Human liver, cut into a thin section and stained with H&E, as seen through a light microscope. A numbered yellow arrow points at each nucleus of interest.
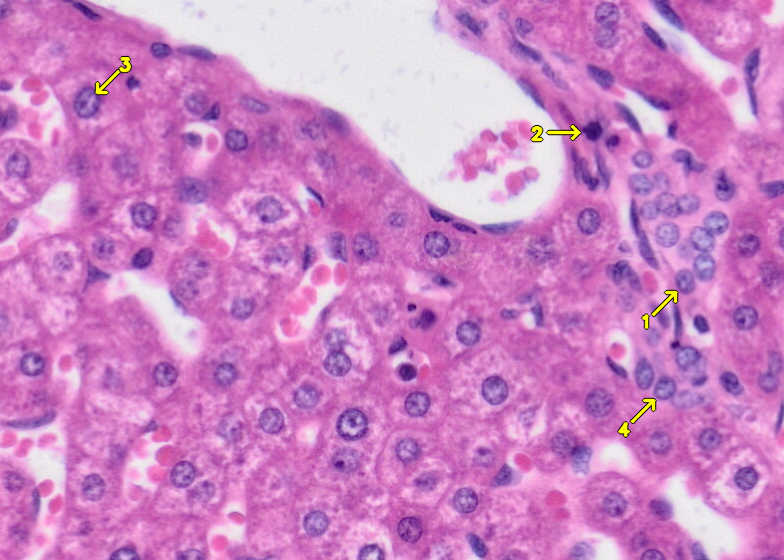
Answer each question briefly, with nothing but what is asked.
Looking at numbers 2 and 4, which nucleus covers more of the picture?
4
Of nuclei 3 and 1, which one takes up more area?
3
